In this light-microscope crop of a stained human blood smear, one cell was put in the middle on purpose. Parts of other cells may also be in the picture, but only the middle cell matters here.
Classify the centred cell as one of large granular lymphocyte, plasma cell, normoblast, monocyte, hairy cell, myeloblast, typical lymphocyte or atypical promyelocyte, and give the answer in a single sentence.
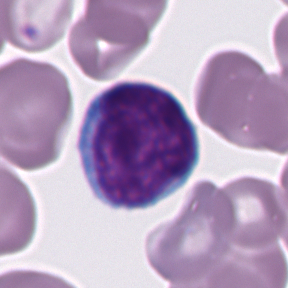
The cell sitting right in the middle is a typical lymphocyte.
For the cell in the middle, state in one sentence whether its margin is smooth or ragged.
In short, the margin is smooth with no projections at all.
